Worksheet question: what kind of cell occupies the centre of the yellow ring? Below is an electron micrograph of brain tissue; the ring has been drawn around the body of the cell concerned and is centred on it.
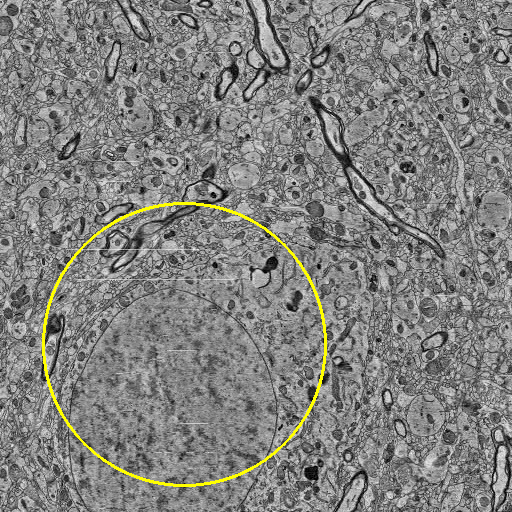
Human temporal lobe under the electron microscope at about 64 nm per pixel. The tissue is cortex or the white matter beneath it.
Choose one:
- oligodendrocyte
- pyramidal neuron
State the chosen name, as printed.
pyramidal neuron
